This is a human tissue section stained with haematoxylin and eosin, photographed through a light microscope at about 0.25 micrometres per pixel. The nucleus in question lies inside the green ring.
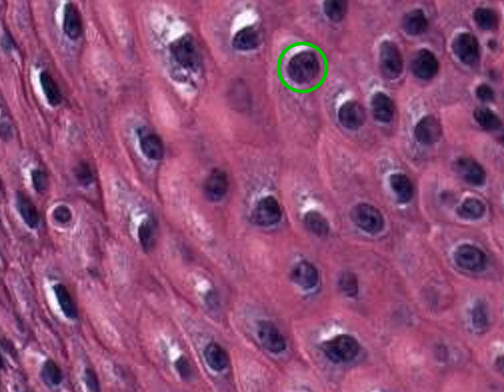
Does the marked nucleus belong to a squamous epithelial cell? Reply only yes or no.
yes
